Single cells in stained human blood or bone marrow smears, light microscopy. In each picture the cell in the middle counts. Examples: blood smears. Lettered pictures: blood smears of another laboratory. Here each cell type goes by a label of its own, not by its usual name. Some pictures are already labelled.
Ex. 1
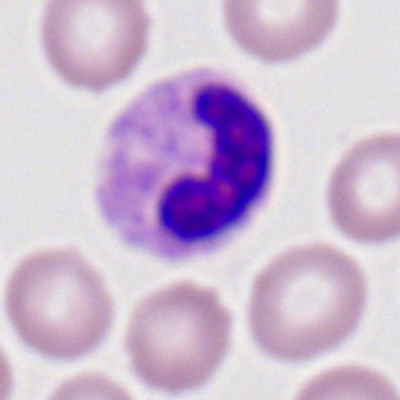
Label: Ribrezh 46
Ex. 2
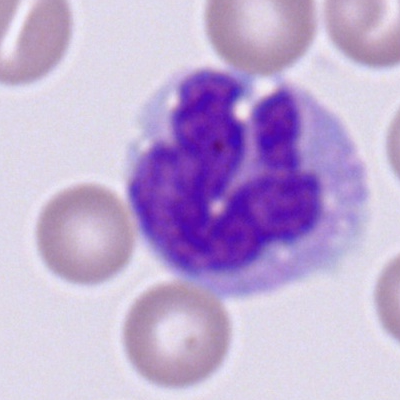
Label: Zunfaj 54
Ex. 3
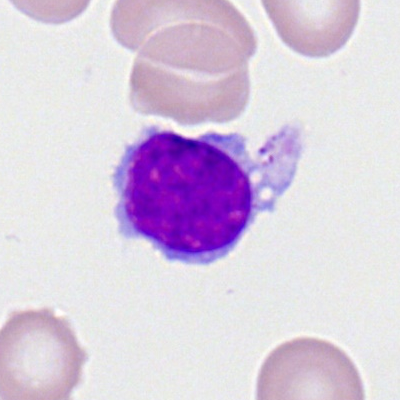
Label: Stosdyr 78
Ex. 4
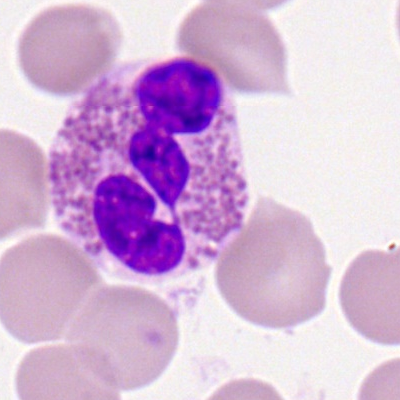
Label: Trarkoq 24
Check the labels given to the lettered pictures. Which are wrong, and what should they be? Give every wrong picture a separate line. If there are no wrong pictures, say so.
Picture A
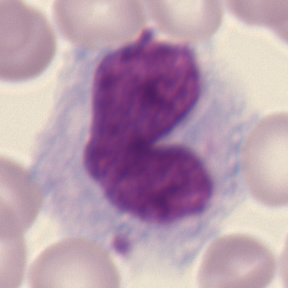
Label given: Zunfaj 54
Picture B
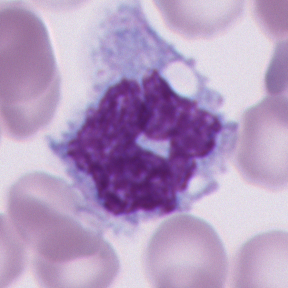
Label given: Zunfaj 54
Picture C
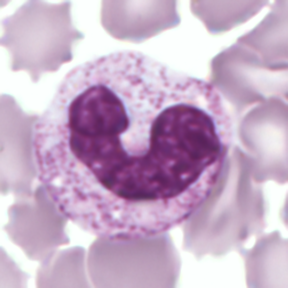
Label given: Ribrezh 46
Every label is right.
